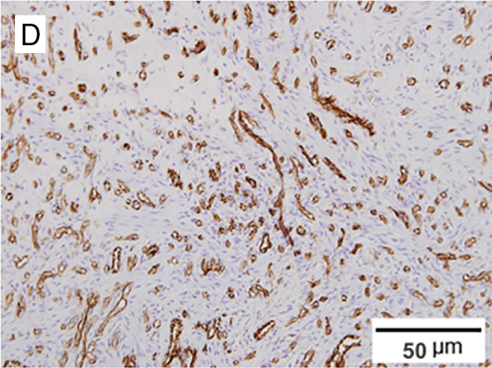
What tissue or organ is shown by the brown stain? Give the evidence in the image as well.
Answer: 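Brown stain outlines numerous small rings and channels. The surrounding spindle cells are unstained blue. So: endothelium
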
